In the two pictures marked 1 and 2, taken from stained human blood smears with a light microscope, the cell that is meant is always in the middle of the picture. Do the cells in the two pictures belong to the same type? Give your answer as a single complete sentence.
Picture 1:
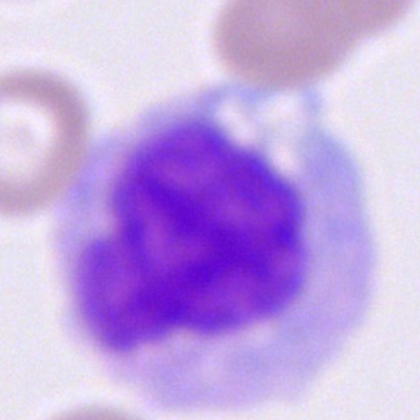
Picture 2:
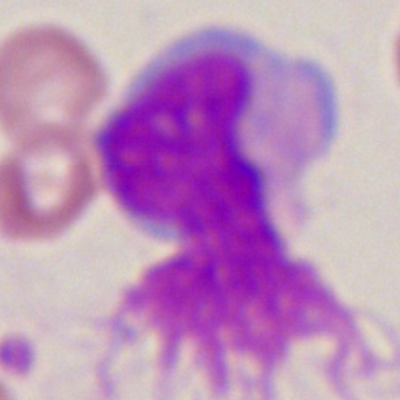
Yes, both are monocytes.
